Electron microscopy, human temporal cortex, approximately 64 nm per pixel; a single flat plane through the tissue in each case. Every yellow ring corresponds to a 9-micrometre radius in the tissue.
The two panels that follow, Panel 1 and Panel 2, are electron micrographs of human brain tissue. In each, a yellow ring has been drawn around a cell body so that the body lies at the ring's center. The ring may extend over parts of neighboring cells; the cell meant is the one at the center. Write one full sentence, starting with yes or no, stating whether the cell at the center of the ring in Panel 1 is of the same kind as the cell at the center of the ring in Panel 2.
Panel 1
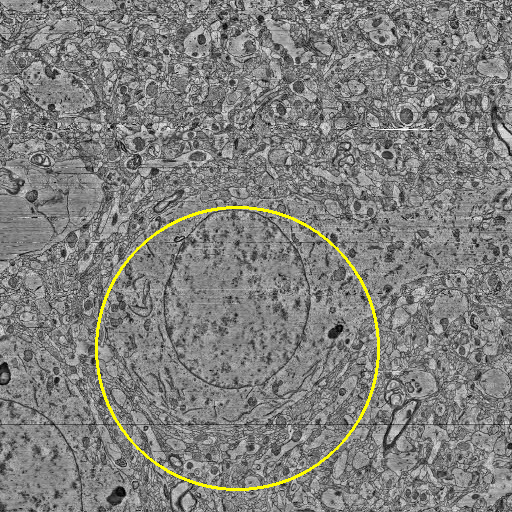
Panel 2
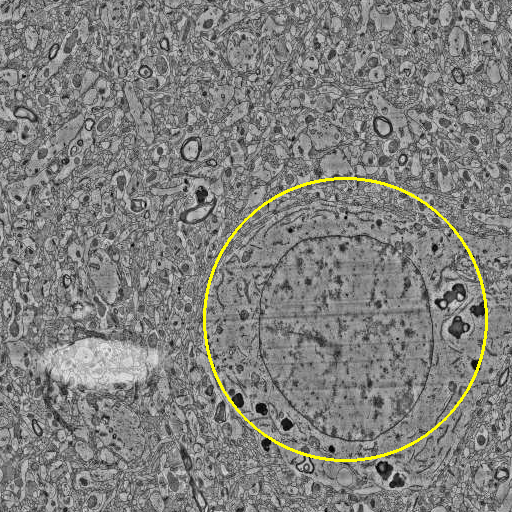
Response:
Yes, the cells in both panels are of the same kind.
